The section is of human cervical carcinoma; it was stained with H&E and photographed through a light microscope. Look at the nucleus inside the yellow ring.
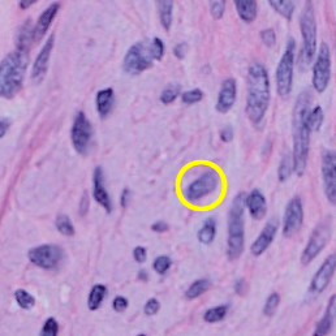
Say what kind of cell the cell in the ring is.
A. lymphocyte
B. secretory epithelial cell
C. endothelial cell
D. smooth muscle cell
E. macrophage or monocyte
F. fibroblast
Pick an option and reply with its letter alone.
D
